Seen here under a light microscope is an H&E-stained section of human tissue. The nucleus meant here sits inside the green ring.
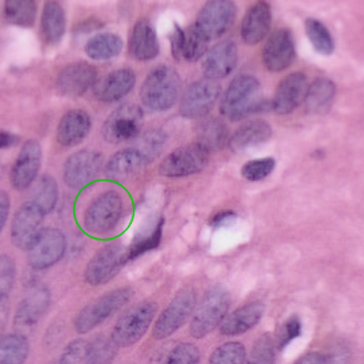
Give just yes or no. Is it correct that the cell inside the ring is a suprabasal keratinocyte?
no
